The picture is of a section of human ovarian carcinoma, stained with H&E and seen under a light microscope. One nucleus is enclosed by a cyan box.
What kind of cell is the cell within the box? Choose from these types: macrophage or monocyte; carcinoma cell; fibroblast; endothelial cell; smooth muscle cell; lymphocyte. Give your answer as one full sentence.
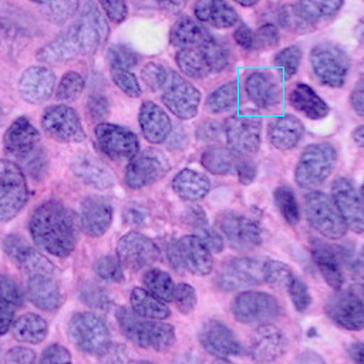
The category to which the cell within the box belongs is that of a carcinoma cell.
